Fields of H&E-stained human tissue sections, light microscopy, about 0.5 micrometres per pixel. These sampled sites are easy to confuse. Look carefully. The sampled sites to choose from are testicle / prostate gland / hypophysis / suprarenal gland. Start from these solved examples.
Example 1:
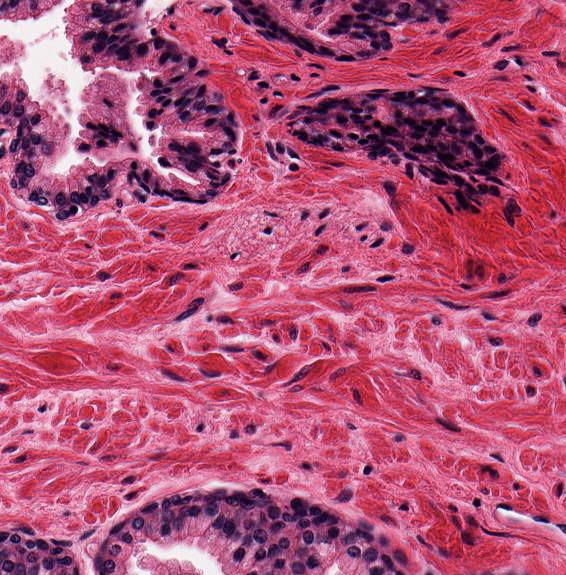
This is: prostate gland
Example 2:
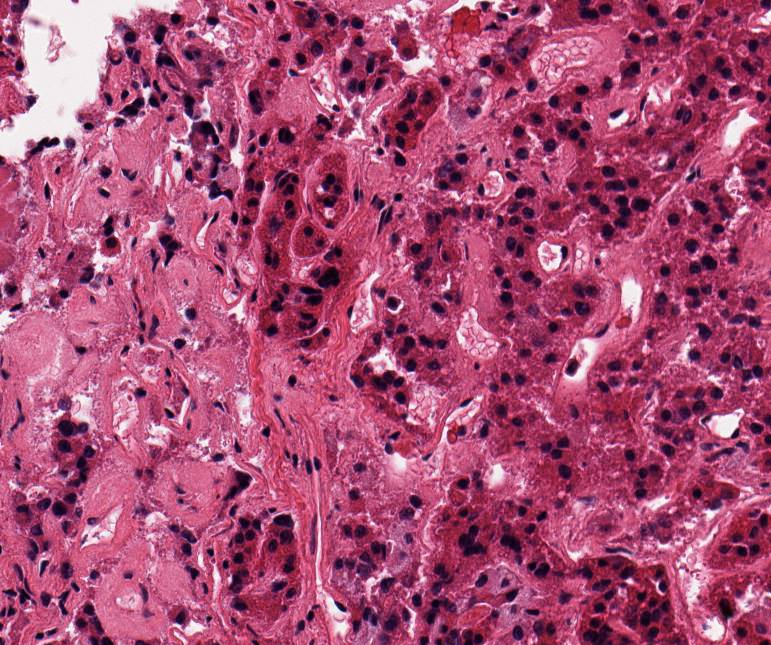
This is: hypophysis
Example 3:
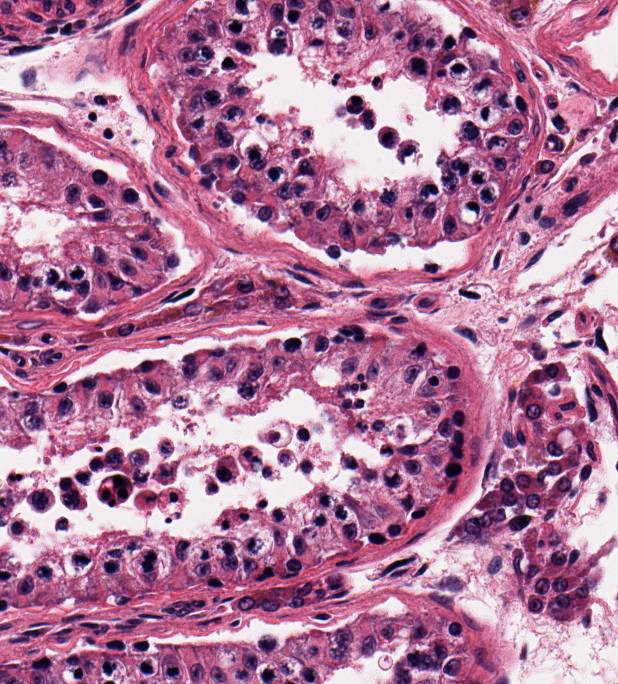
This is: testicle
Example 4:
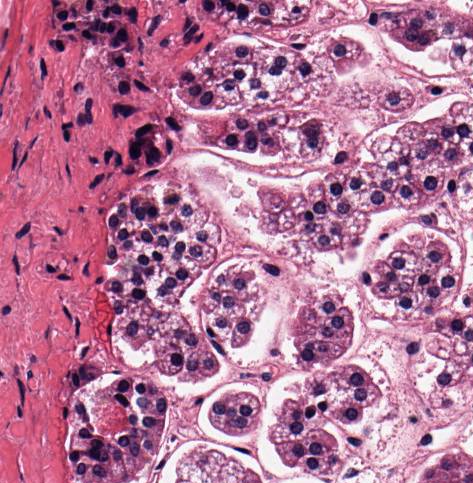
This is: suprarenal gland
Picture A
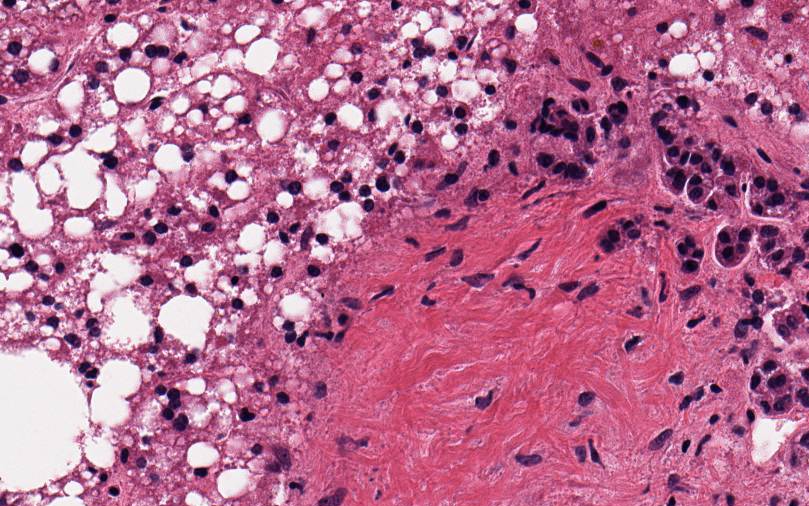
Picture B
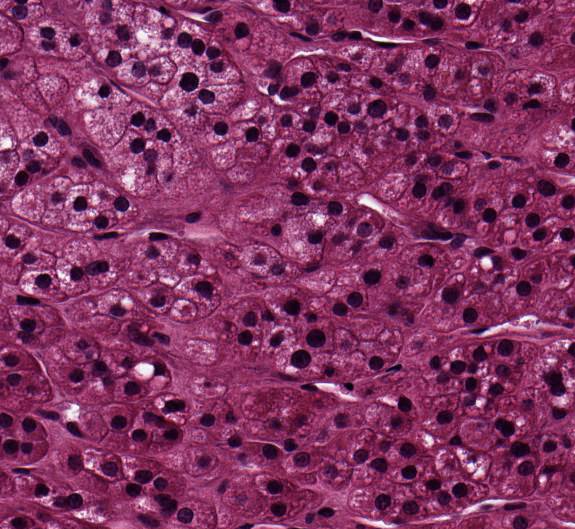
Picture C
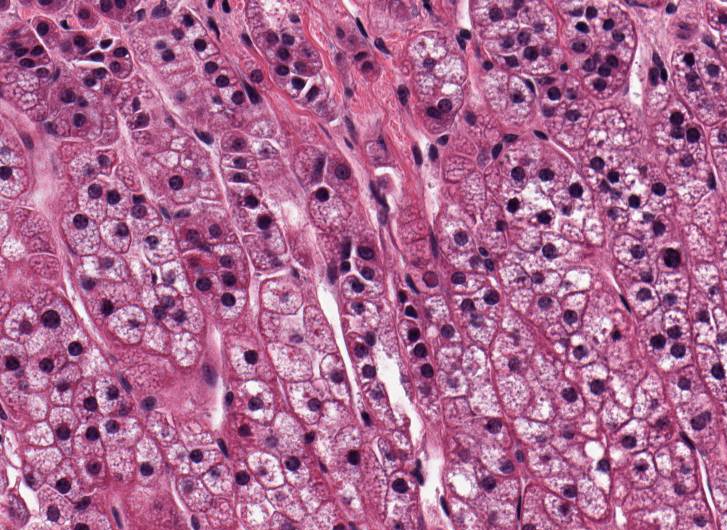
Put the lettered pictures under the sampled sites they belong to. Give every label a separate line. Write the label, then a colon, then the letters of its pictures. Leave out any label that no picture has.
suprarenal gland: A, B, C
